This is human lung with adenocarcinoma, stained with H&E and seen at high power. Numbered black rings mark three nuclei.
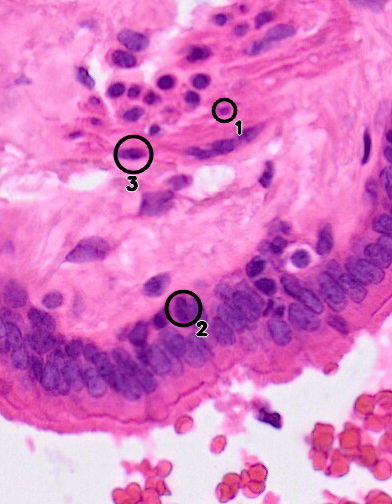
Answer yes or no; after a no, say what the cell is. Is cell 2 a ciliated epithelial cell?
Yes.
